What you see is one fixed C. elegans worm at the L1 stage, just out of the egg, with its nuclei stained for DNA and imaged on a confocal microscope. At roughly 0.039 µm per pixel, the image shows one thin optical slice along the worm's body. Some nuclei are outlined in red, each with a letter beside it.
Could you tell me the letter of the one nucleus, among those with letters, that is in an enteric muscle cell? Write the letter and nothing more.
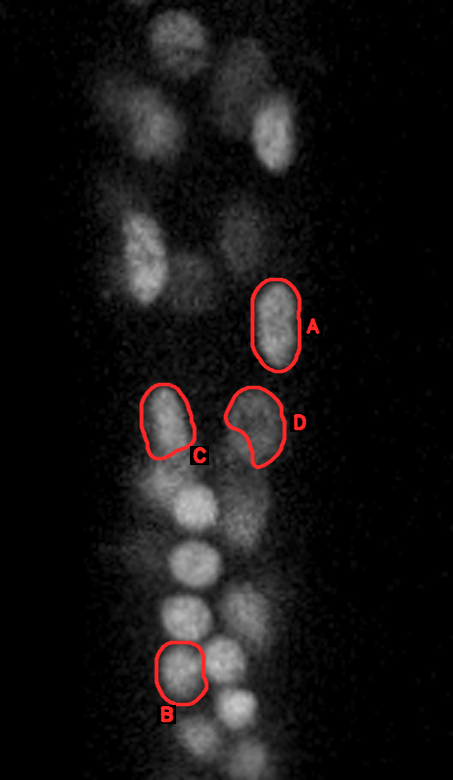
C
